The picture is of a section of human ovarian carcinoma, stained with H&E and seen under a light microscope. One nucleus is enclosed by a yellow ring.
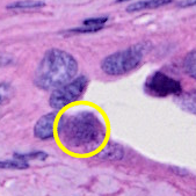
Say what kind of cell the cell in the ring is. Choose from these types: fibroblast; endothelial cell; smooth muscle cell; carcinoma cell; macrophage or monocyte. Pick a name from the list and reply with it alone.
carcinoma cell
